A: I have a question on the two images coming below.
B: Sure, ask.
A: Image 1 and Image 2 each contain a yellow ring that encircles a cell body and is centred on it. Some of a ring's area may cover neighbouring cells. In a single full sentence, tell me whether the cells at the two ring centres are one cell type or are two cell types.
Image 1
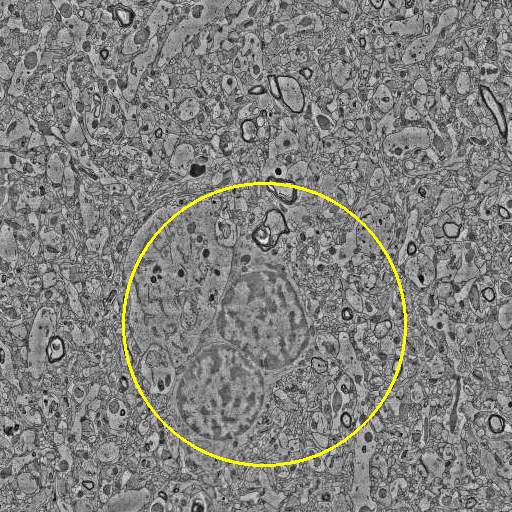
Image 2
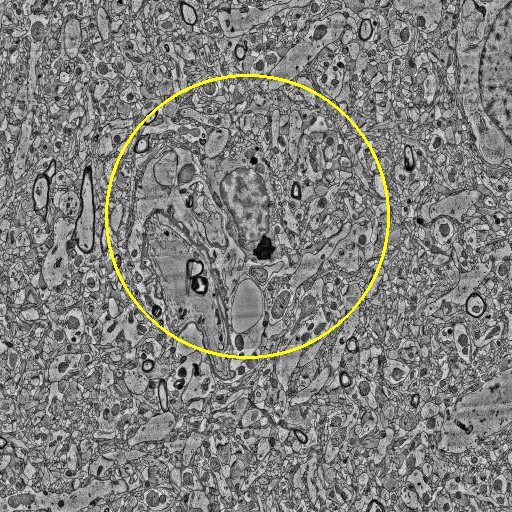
As for the ring-centre cells, the one in Image 1 and the one in Image 2 are one cell type.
